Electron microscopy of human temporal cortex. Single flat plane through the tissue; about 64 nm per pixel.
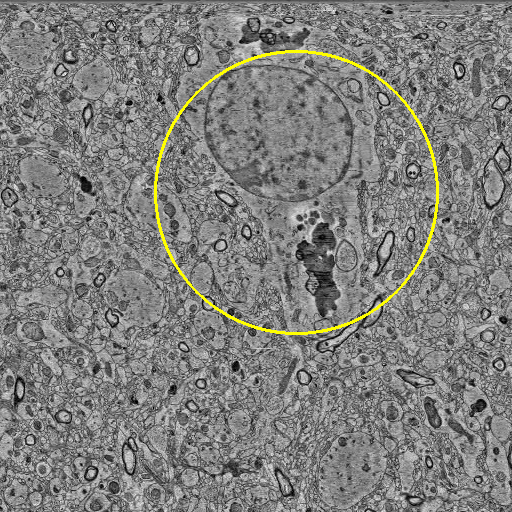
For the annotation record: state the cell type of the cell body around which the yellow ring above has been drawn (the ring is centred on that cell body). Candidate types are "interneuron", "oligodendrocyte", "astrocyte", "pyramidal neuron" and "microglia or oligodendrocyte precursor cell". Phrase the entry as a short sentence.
The ringed cell is an astrocyte.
